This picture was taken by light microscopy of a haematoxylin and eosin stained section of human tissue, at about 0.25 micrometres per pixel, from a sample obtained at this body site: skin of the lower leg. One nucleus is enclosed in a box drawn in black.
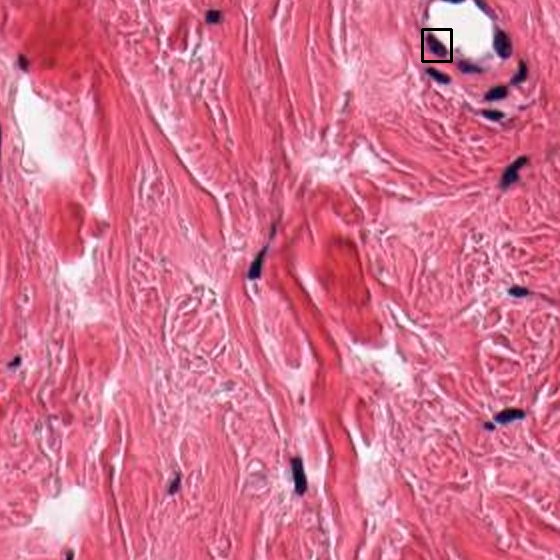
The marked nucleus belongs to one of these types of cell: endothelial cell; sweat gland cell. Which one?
endothelial cell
